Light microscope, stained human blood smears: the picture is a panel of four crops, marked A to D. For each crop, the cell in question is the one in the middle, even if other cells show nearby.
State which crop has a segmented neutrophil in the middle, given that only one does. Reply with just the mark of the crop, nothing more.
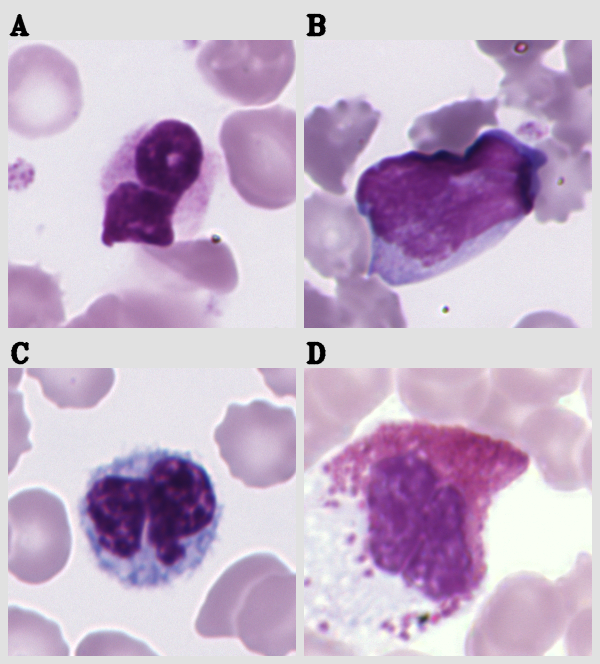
A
